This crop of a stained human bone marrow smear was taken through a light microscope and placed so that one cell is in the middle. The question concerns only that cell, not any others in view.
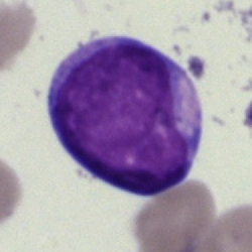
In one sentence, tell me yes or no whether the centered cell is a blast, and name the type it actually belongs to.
Yes, that is a blast in the middle of the crop.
